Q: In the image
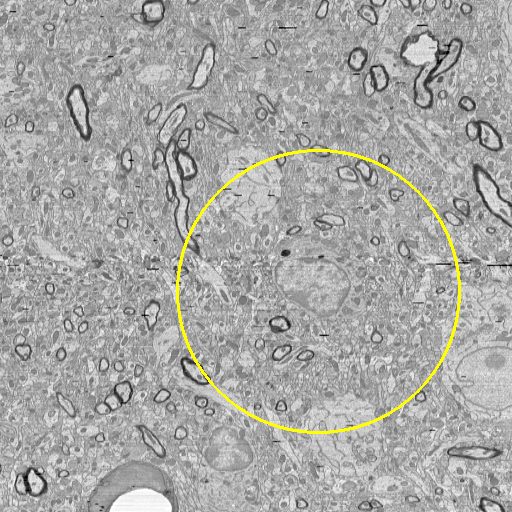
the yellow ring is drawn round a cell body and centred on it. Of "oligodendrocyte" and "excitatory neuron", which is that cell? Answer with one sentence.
The cell centred in the ring is an oligodendrocyte.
